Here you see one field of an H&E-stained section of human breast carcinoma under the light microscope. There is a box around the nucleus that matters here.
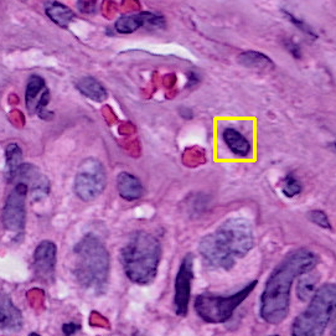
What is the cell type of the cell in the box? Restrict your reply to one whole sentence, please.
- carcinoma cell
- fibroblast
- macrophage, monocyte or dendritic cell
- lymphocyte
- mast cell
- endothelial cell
In the stained section, the cell in the box is a mast cell.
